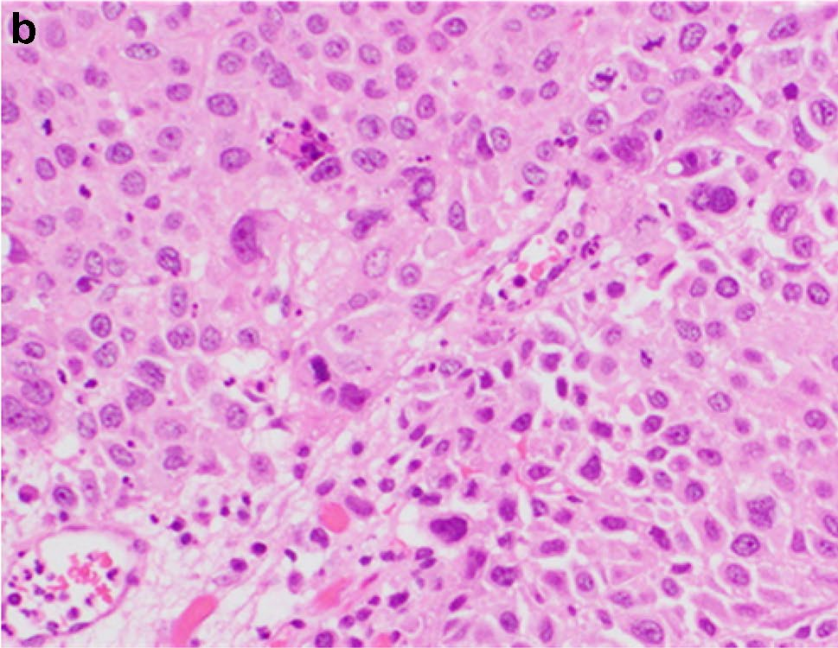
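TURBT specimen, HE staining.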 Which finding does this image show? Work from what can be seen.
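Nuclei vary in size and shape. Some nuclei are very large and dark. Many nuclei have visible nucleoli. So: pleomorphic enlarged nuclei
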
